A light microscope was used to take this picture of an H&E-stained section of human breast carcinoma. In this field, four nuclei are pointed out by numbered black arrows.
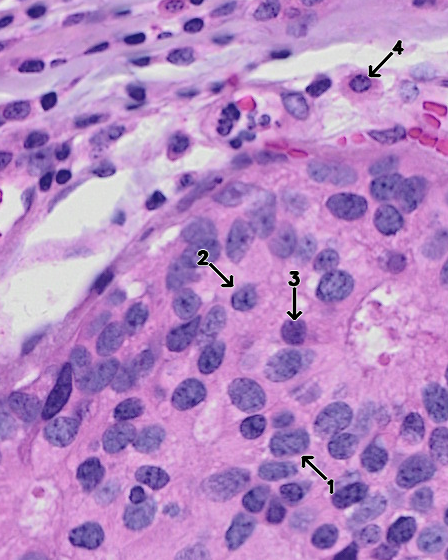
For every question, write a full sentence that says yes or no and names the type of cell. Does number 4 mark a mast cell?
Yes, in this section the cell numbered 4 is a mast cell.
